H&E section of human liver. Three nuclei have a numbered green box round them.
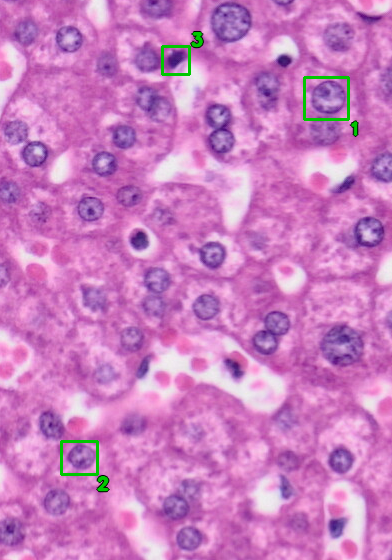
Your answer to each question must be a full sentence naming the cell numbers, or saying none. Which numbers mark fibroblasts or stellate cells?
Among the marked cells, a fibroblast or stellate cell is found only at number 3.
